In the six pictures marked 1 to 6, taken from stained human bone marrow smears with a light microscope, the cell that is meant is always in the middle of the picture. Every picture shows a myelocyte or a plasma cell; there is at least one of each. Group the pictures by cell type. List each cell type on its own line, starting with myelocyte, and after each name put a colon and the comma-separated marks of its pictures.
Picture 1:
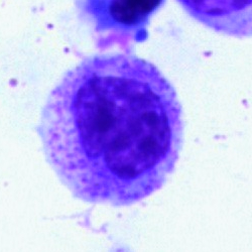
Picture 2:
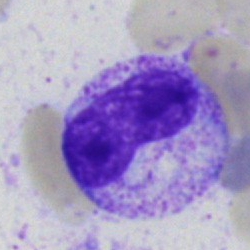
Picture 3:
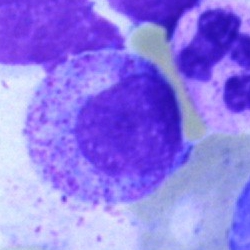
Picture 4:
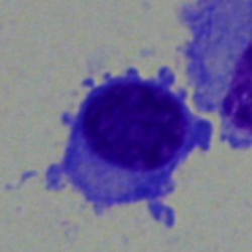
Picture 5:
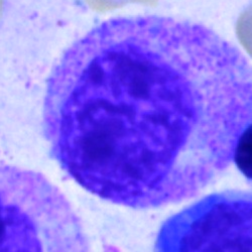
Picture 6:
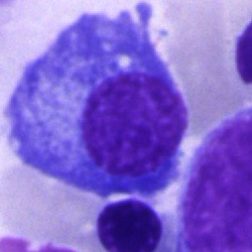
myelocyte: 1, 2, 3, 5
plasma cell: 4, 6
